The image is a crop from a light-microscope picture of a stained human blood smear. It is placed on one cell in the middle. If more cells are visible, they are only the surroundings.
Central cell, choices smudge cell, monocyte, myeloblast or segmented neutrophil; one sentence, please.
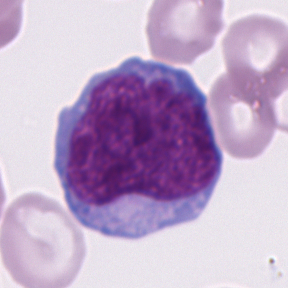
On this slide crop, the central cell is a myeloblast.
